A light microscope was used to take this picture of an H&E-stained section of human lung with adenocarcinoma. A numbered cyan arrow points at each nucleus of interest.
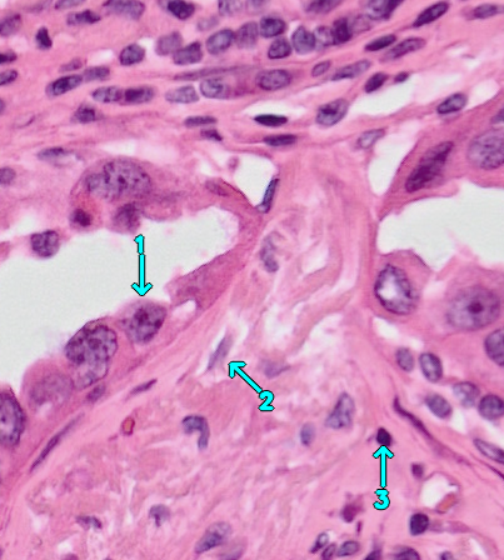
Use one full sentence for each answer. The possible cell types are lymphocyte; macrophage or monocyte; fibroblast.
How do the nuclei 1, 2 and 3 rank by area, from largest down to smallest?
From largest to smallest, the order is 1, 2, 3.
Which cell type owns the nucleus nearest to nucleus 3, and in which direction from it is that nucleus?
The nearest nucleus is that of a fibroblast and lies above and to the right of nucleus 3.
